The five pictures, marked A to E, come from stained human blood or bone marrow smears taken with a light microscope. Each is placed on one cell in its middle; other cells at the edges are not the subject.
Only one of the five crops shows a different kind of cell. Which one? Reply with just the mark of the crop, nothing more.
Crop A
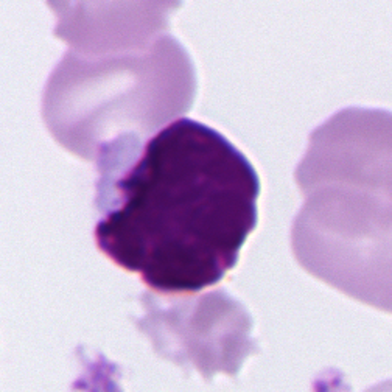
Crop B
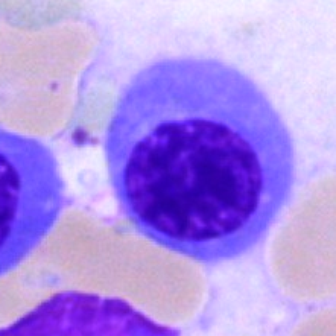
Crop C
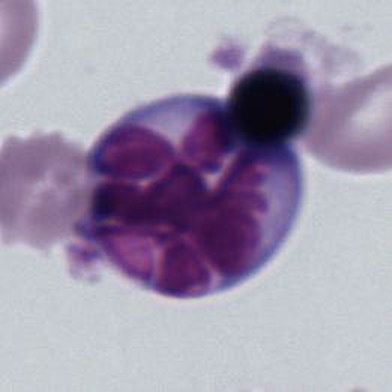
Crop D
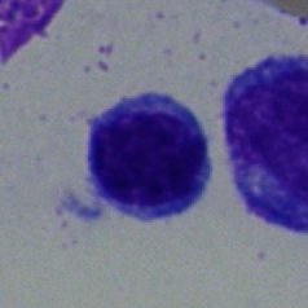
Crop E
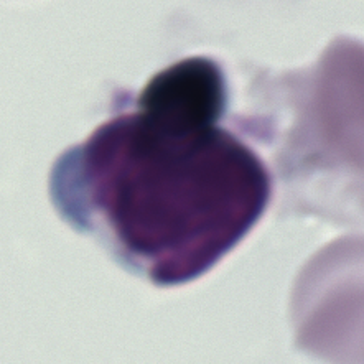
B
